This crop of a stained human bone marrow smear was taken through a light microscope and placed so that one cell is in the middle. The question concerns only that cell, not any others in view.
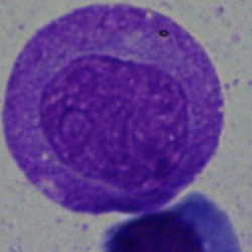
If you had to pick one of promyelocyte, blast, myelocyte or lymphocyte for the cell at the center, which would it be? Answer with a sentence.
The cell featured at the centre of this crop is a blast.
